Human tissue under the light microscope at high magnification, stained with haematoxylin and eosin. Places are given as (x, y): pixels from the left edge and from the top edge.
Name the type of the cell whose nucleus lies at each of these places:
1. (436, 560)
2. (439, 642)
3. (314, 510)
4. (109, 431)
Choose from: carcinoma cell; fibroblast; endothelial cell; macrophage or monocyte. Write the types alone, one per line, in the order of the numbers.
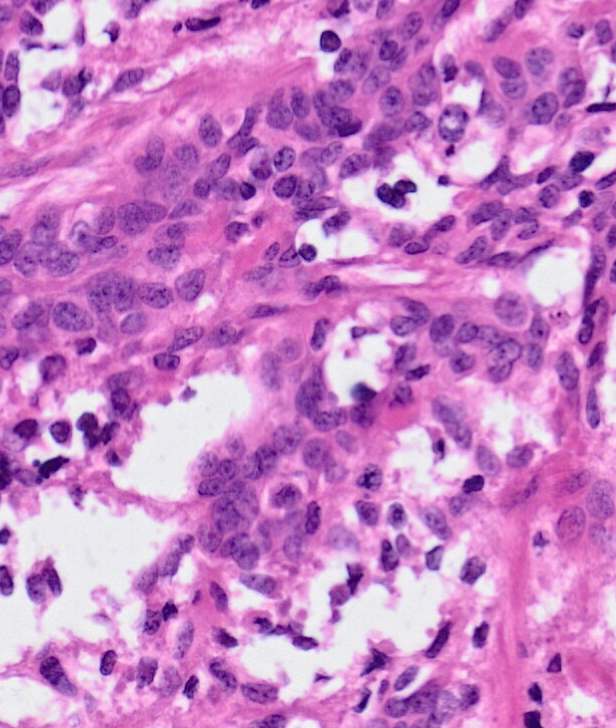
carcinoma cell
macrophage or monocyte
carcinoma cell
carcinoma cell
